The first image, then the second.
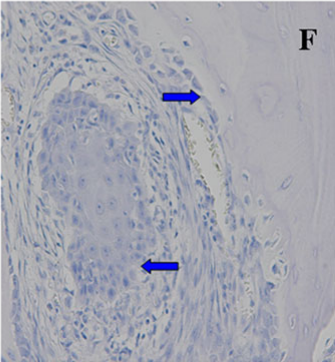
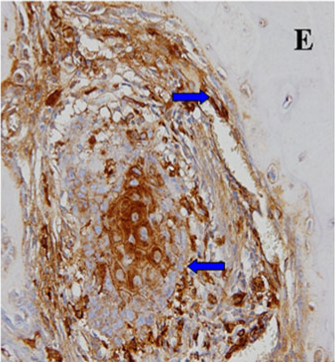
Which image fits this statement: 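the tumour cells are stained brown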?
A: the second image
